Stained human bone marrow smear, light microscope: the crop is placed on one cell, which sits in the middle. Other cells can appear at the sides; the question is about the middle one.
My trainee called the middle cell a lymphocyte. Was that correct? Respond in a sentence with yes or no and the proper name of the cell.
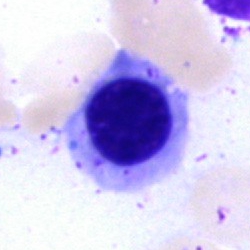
No, this cell in the middle is a normoblast, so it is not a lymphocyte.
